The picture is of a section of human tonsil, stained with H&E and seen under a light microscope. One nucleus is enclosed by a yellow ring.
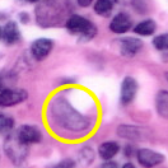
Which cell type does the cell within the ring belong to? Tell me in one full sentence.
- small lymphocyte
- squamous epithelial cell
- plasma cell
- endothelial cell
As to its cell type, the cell within the ring is an endothelial cell.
